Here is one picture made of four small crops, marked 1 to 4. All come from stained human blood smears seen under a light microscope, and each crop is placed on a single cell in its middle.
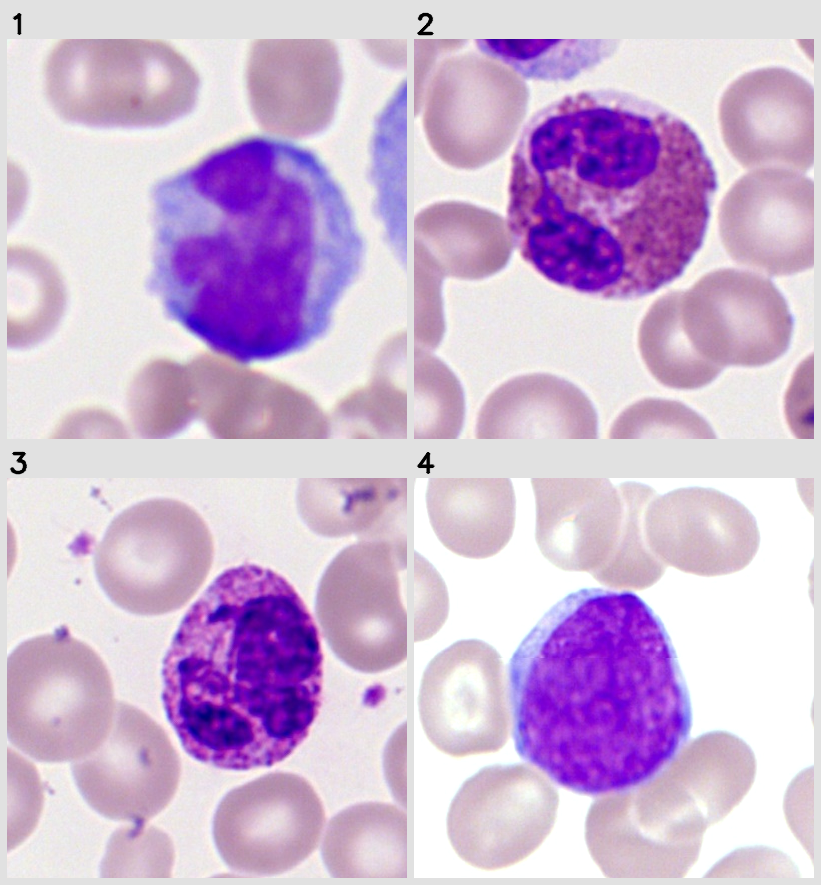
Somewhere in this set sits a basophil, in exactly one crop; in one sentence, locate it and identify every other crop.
Crop 3 presents a basophil, while crop 1 is a monocyte, crop 2 is an eosinophil and crop 4 is a blast.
